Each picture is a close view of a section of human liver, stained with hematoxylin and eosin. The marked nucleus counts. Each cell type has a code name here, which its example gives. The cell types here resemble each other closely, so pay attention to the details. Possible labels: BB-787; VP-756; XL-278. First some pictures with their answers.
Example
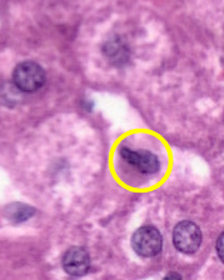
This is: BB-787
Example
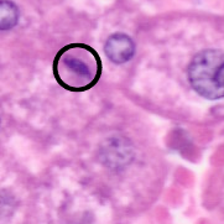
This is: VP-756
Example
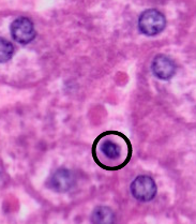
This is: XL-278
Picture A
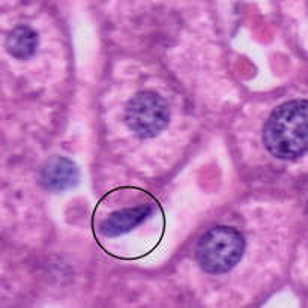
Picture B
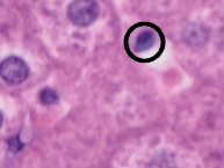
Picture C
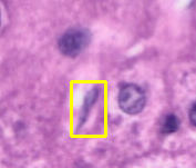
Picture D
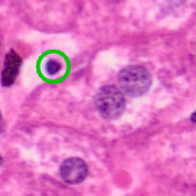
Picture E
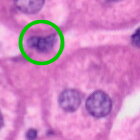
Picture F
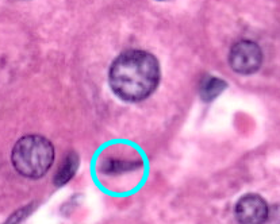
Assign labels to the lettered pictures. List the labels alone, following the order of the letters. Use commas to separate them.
BB-787, VP-756, BB-787, XL-278, VP-756, VP-756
